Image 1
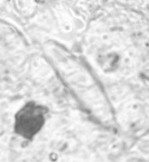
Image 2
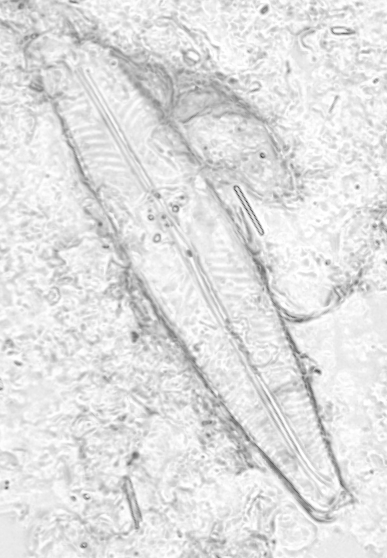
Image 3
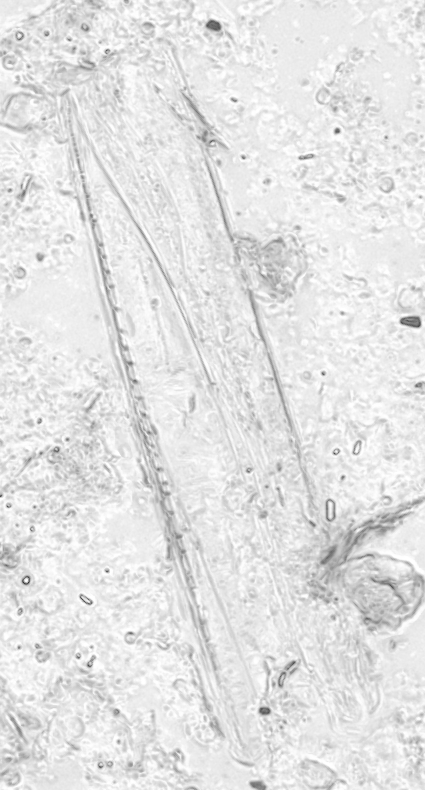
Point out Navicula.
That is picture 2.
